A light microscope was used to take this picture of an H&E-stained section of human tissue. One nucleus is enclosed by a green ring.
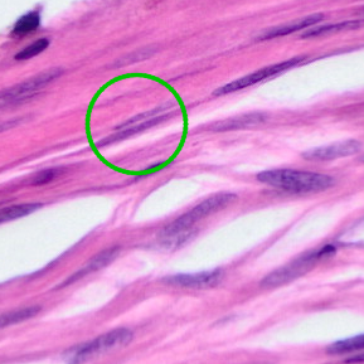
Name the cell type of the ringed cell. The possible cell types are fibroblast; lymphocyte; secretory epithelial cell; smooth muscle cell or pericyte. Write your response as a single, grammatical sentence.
On this particular slide, the ringed cell is a fibroblast.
